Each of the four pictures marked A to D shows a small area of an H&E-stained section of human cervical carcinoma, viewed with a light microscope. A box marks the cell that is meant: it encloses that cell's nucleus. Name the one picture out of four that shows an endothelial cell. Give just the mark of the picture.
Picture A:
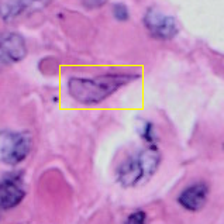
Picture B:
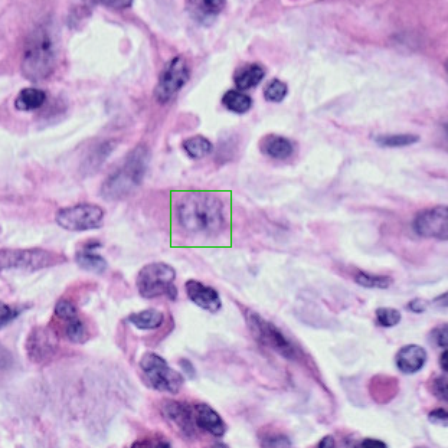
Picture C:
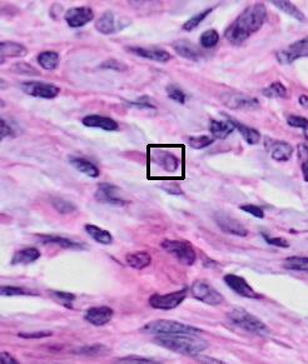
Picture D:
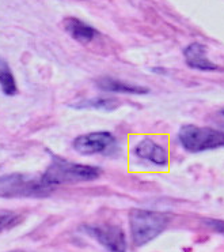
B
